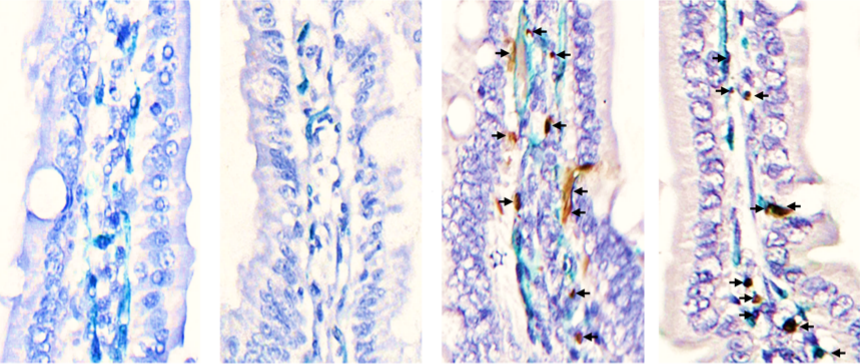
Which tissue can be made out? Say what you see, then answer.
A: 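Small intestinal villi. Each image shows a finger-like projection with a central connective tissue core. The core is covered on both sides by a single layer of tall columnar epithelial cells.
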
